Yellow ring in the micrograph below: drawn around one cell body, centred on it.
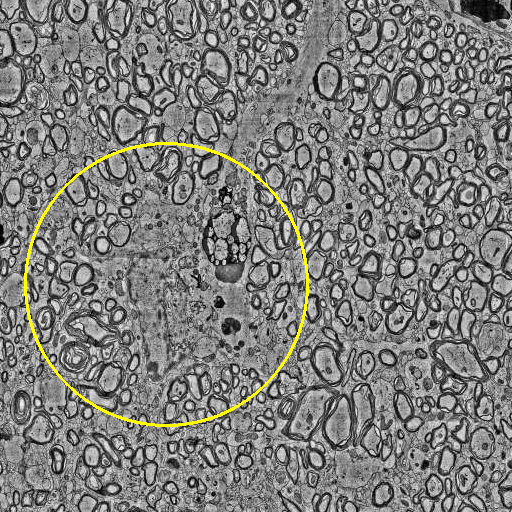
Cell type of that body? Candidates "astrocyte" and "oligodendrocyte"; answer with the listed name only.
astrocyte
